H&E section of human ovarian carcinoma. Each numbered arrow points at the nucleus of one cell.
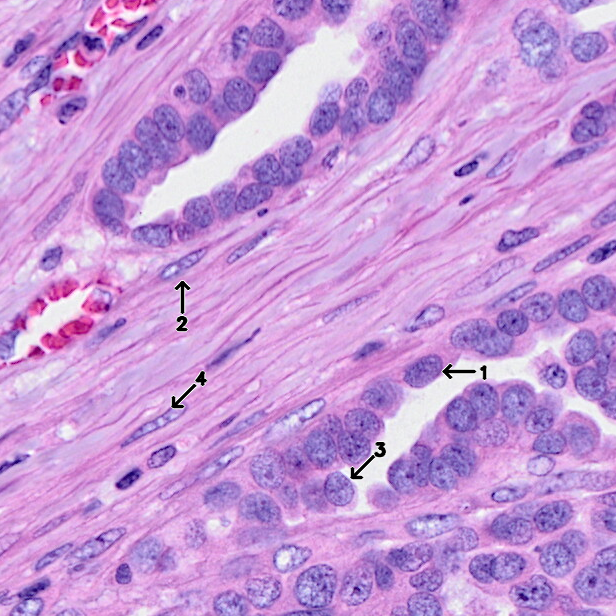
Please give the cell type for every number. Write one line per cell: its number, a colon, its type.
1: carcinoma cell
2: fibroblast
3: carcinoma cell
4: fibroblast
